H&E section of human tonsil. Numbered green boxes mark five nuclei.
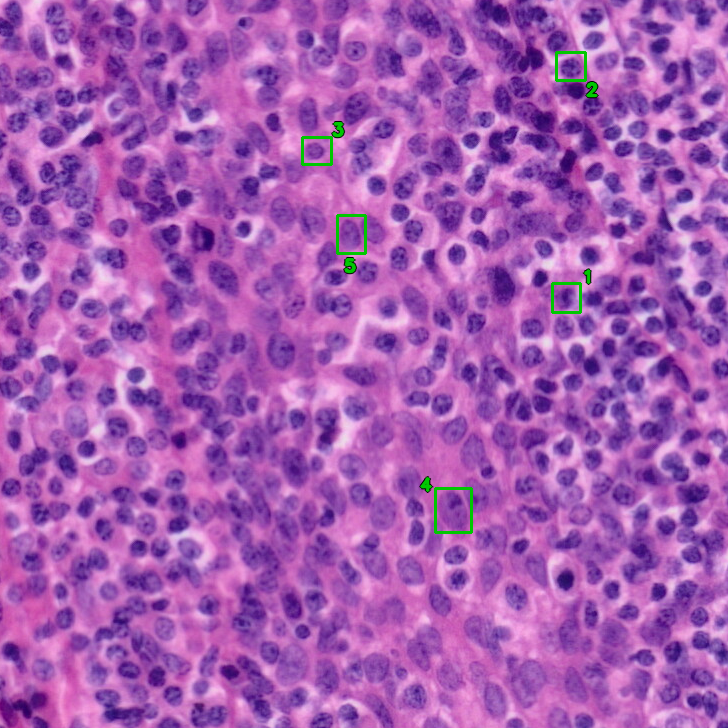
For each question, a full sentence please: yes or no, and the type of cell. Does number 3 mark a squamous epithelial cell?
Yes, the marked cell numbered 3 is a squamous epithelial cell.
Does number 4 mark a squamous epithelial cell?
Yes, the cell with the mark numbered 4 is a squamous epithelial cell.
